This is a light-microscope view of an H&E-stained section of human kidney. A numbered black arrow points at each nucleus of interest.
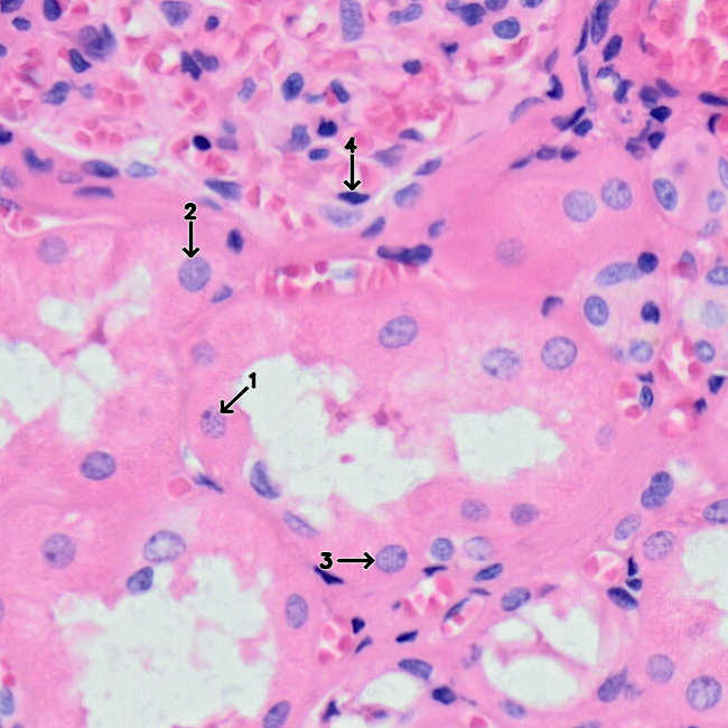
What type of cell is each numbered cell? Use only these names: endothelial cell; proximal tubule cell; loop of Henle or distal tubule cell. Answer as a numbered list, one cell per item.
1. proximal tubule cell
2. proximal tubule cell
3. proximal tubule cell
4. endothelial cell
